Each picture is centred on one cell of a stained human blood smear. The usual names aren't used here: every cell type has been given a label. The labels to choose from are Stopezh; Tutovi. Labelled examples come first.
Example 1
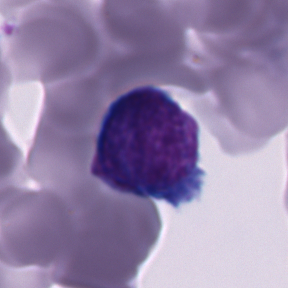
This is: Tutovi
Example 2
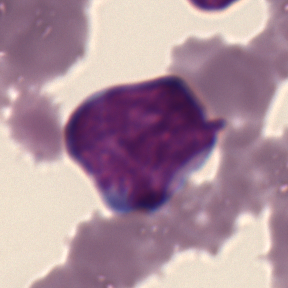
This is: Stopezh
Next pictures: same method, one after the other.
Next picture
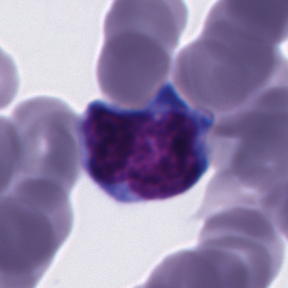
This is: Tutovi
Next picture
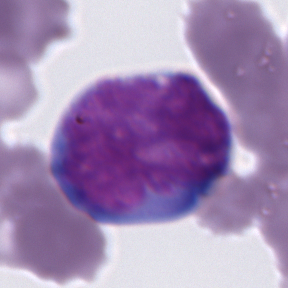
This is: Stopezh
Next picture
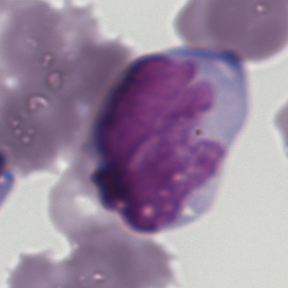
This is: Stopezh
